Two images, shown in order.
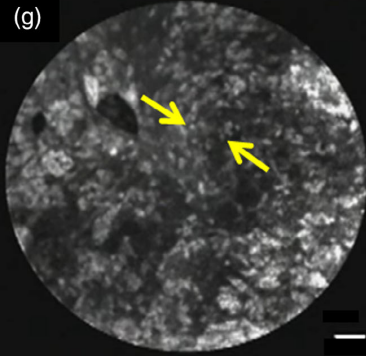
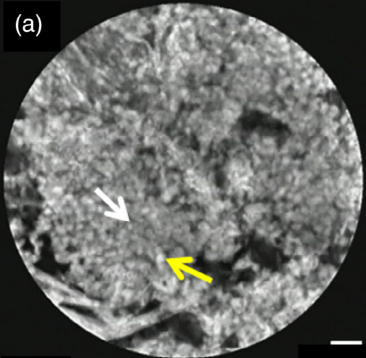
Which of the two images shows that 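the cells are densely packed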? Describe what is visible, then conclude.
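First image: darker field with scattered bright dots and dark gaps. Second image: bright field crowded with closely packed cells throughout.
The second image.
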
